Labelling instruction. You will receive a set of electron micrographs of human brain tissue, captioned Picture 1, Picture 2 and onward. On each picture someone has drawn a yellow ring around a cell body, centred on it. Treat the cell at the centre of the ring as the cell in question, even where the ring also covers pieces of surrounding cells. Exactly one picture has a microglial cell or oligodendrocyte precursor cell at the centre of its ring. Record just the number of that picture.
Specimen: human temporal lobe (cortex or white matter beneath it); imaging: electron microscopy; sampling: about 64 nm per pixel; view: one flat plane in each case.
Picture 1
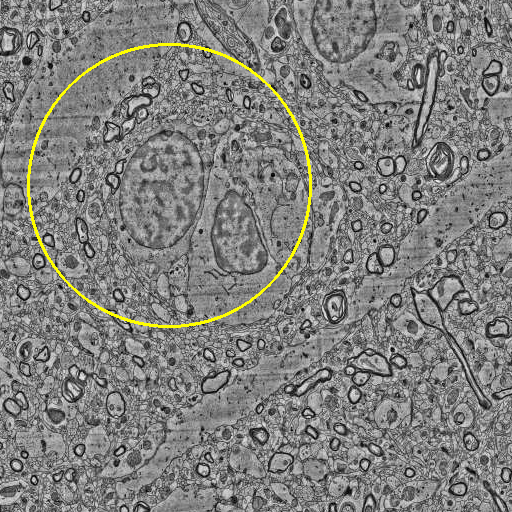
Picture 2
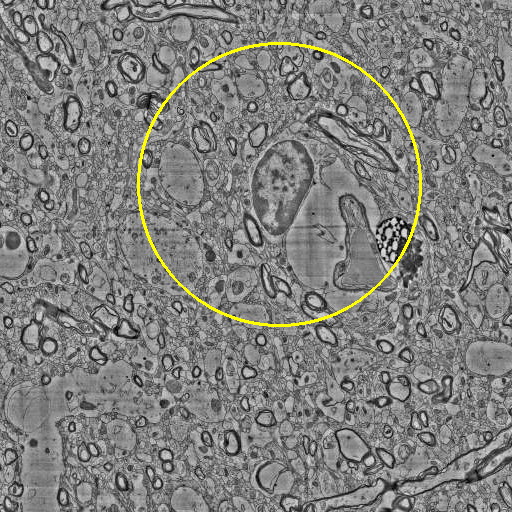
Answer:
2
